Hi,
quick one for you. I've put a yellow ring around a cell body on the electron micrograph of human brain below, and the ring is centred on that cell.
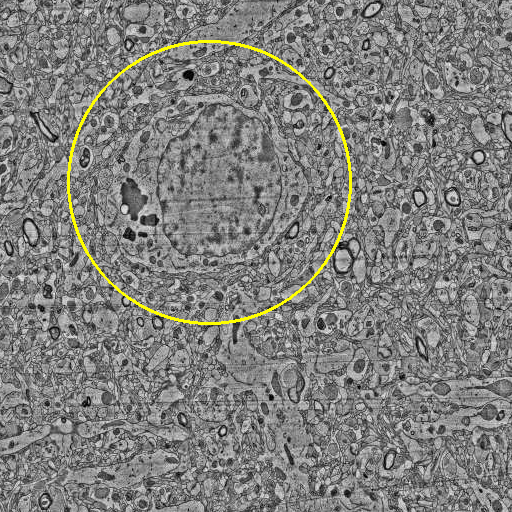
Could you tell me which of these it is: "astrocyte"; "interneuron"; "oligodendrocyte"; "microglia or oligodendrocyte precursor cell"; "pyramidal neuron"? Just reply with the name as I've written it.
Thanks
interneuron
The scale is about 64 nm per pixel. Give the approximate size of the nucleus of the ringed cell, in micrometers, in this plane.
In this plane, the nucleus of the cell at the centre of the ring measures about 10 by 8 micrometres.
